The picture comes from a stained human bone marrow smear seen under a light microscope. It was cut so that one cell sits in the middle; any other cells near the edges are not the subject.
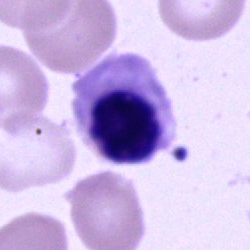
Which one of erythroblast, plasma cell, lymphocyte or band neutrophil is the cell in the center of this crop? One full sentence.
Answering briefly, the cell in the middle is an erythroblast.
